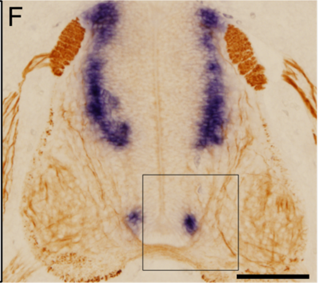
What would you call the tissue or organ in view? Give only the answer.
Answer: Spinal cord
